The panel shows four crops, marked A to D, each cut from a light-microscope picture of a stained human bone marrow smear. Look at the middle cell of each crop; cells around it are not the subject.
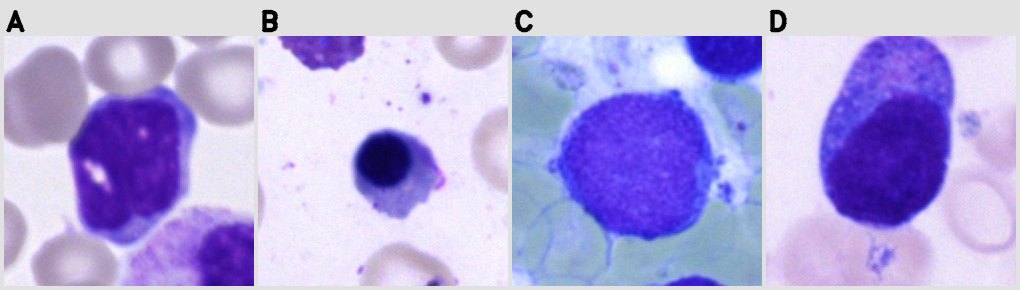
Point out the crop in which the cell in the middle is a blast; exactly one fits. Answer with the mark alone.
C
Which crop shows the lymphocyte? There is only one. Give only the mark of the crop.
A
